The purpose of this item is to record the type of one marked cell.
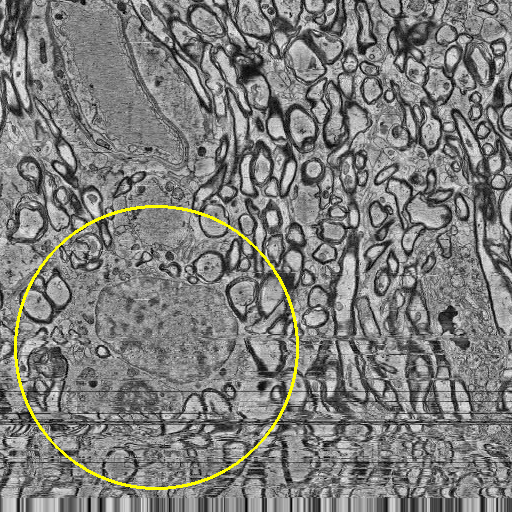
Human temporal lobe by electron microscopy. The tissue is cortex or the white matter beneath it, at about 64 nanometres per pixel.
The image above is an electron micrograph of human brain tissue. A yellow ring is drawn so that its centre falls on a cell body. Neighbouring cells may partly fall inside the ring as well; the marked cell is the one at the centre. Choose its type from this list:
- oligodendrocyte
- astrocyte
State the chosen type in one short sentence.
What the ring marks here is an oligodendrocyte.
